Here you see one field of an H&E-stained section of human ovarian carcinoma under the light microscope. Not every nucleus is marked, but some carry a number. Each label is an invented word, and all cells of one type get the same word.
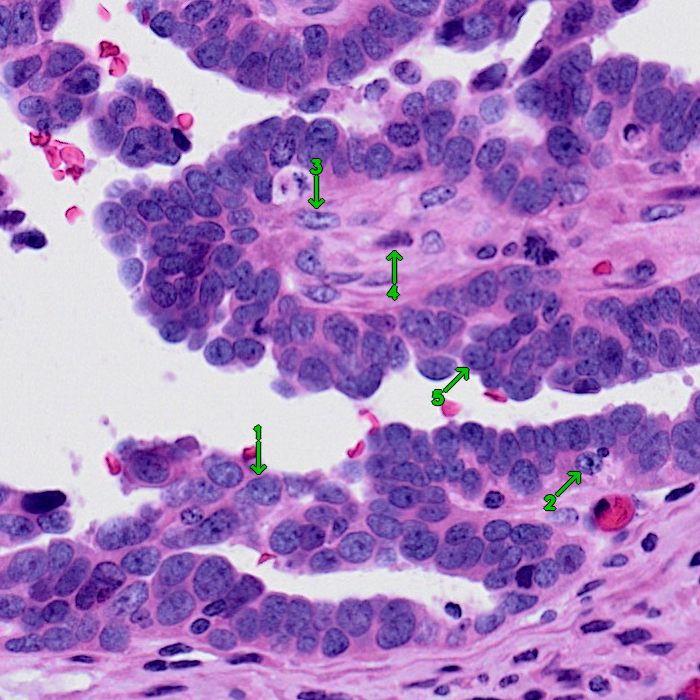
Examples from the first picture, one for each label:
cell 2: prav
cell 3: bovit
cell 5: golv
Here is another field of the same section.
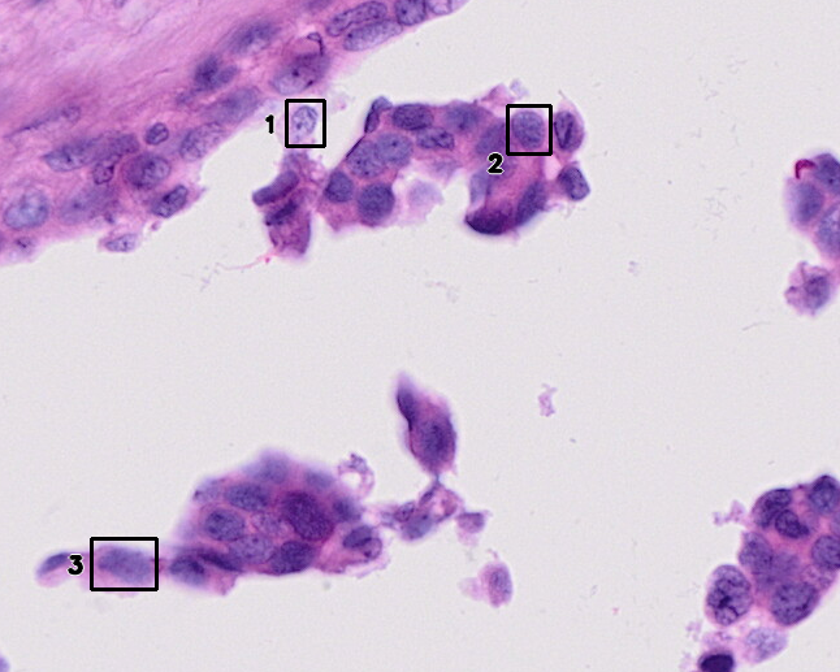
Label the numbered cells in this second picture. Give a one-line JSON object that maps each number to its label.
{"1": "prav", "2": "golv", "3": "golv"}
